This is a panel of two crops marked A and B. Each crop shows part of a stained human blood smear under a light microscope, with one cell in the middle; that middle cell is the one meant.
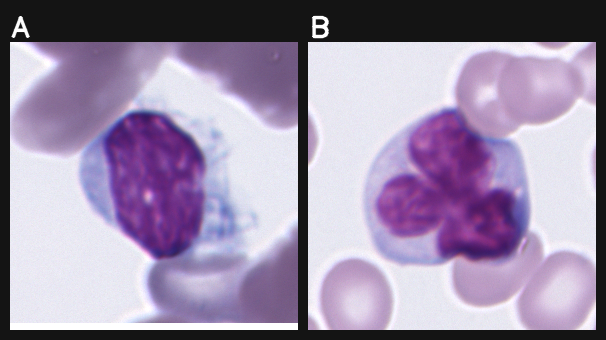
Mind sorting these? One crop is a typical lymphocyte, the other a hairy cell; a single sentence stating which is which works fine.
Crop A depicts a hairy cell, and a typical lymphocyte is depicted in crop B.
